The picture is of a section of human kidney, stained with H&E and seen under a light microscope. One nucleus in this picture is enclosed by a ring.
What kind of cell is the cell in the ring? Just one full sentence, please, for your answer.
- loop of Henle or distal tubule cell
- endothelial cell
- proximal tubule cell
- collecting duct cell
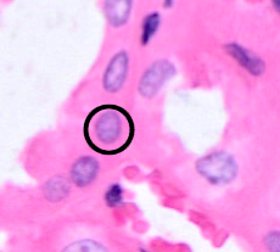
It is as a proximal tubule cell that the cell in the ring is classified.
